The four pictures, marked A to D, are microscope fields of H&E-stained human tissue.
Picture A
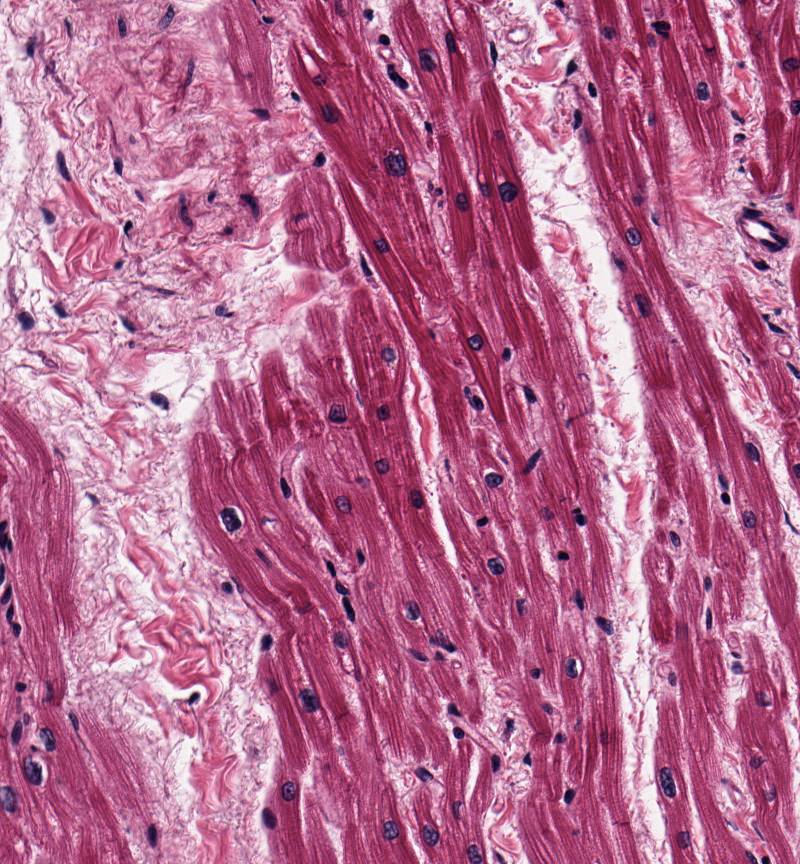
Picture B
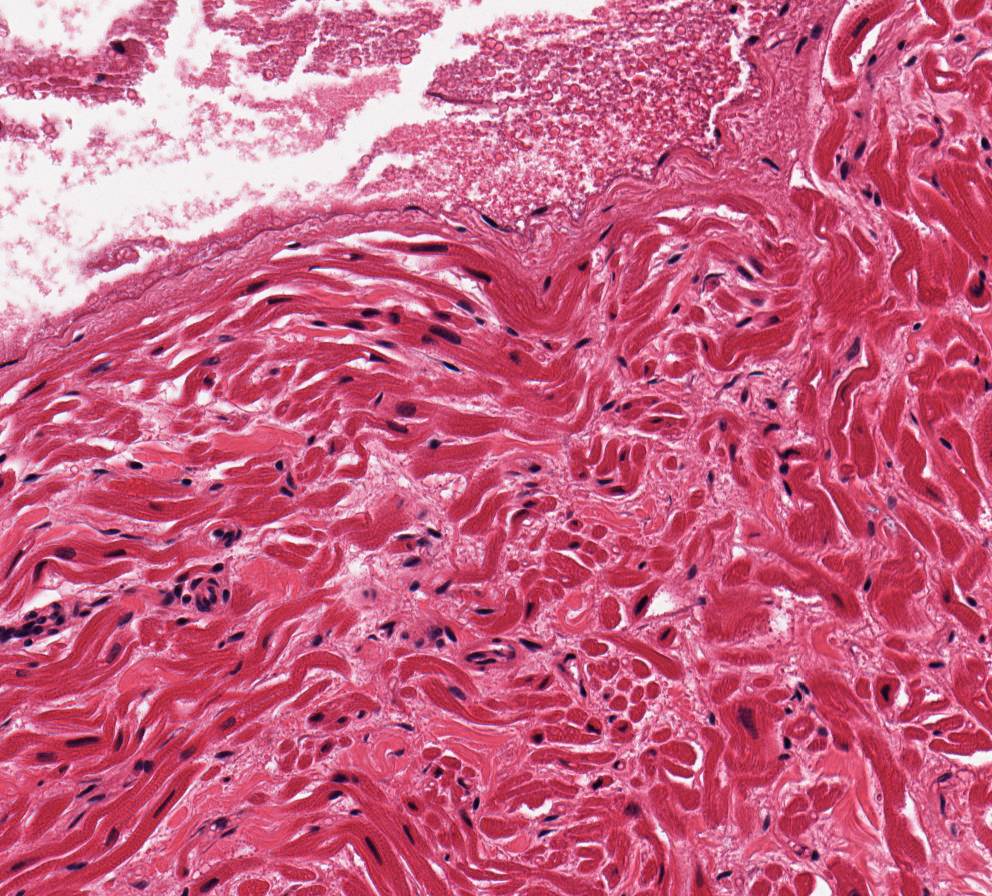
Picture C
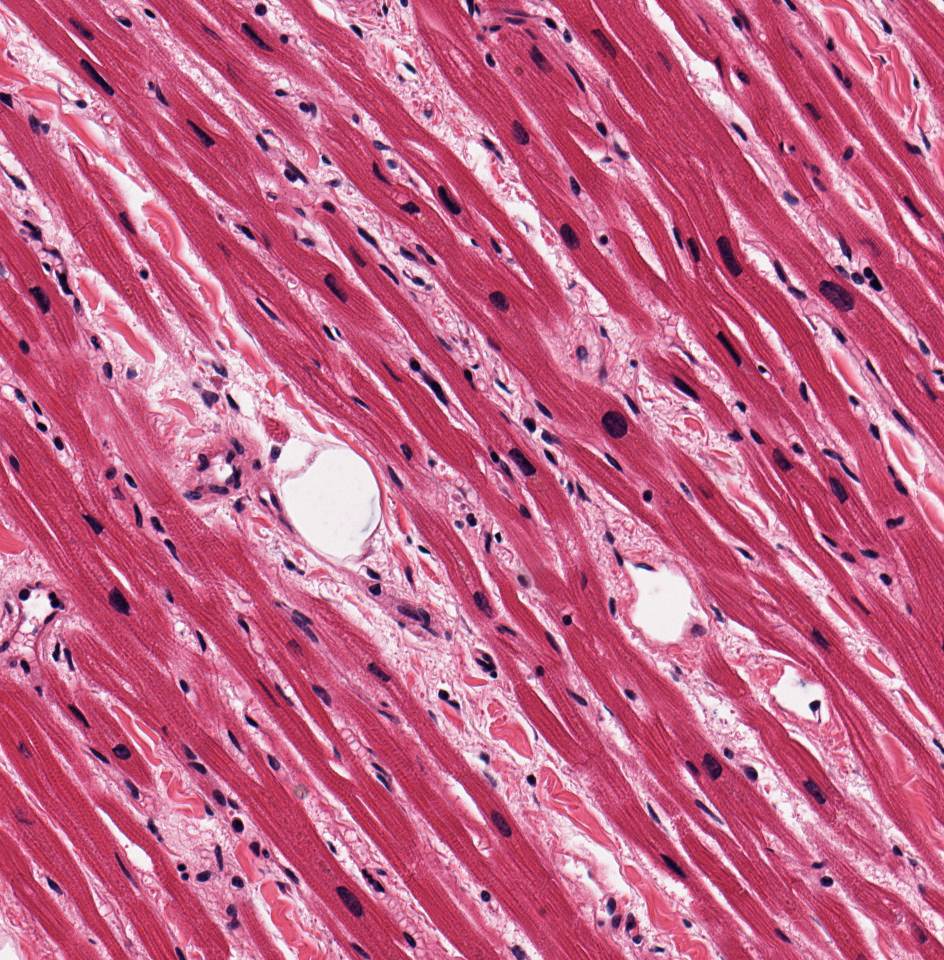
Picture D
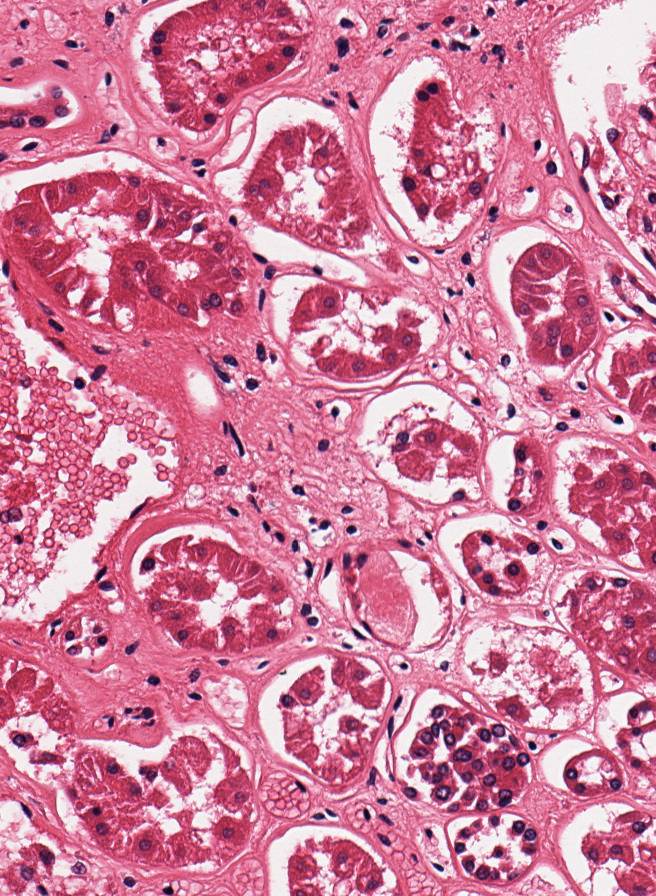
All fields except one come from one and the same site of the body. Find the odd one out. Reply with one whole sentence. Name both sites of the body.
The others come from the atrial appendage of the heart, but picture D comes from the renal cortex.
